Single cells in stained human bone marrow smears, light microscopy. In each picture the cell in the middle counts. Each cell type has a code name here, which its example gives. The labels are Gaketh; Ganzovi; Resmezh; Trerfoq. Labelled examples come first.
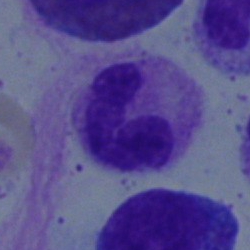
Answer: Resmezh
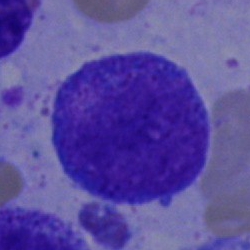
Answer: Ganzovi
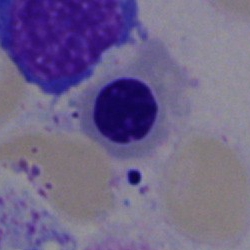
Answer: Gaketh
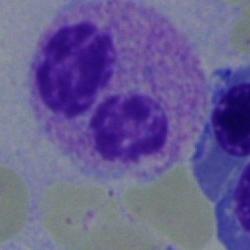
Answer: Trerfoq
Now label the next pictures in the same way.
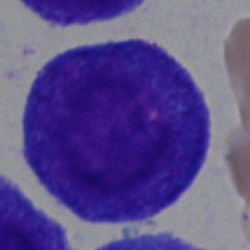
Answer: Ganzovi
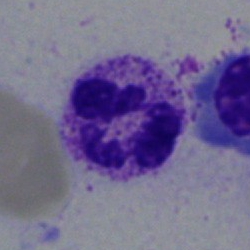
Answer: Trerfoq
